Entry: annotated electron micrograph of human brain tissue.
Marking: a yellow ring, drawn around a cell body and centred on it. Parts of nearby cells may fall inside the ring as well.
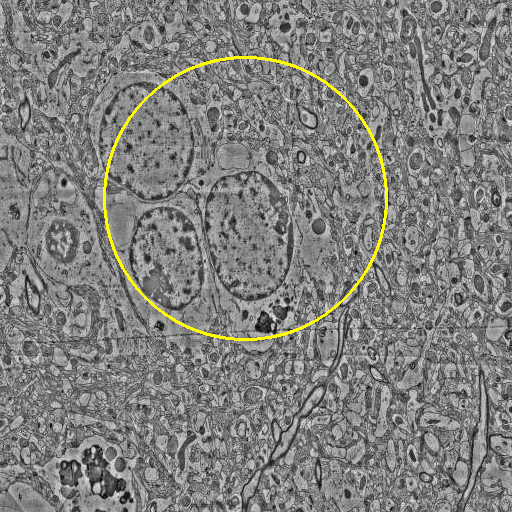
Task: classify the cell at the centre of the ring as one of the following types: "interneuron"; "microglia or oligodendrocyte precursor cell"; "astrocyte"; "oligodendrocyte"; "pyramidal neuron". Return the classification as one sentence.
The marked cell is classified as an astrocyte.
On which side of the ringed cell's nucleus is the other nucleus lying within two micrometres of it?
The other nucleus sits to the left of it.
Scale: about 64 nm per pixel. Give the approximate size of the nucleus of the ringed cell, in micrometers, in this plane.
The nucleus works out at approximately 8 by 6 micrometres in this plane.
